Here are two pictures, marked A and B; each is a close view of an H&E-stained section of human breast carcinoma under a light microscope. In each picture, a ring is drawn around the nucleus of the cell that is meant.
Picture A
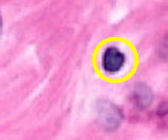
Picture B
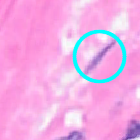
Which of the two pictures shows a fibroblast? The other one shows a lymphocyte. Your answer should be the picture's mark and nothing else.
B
